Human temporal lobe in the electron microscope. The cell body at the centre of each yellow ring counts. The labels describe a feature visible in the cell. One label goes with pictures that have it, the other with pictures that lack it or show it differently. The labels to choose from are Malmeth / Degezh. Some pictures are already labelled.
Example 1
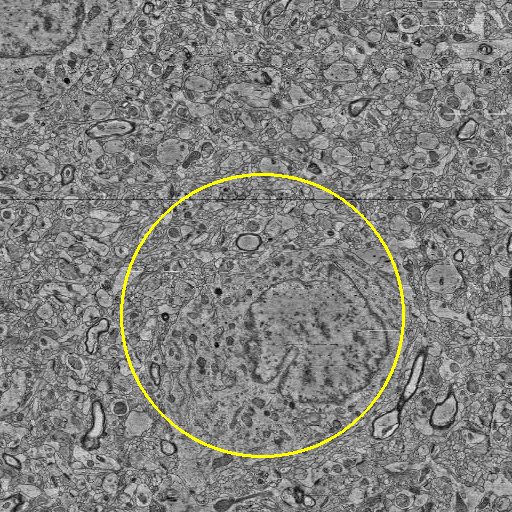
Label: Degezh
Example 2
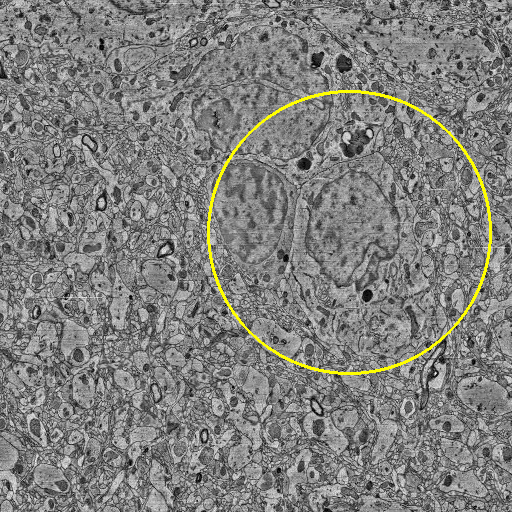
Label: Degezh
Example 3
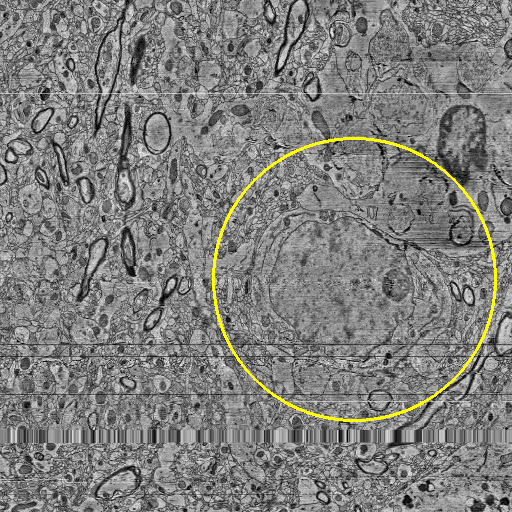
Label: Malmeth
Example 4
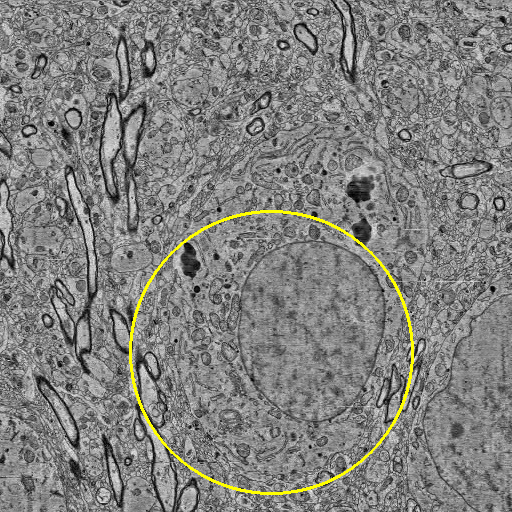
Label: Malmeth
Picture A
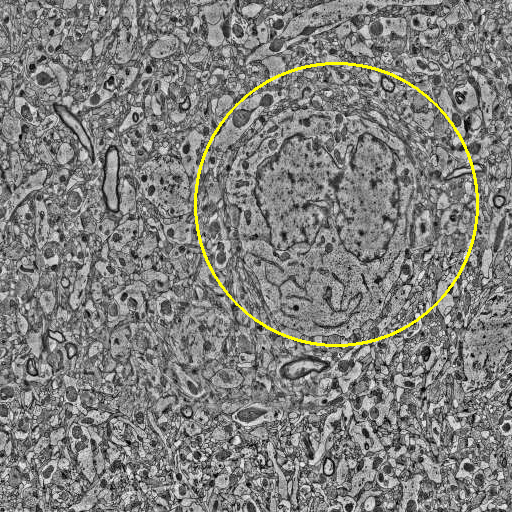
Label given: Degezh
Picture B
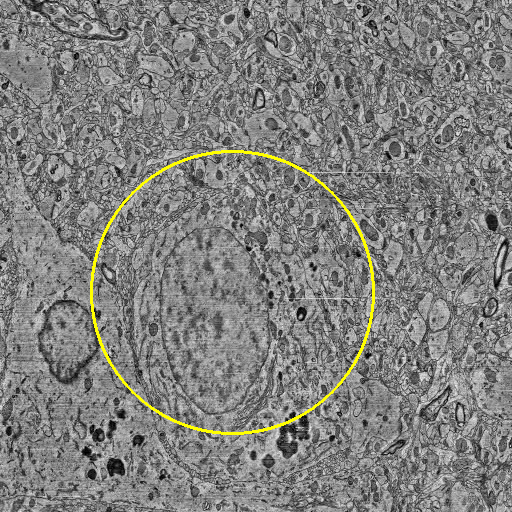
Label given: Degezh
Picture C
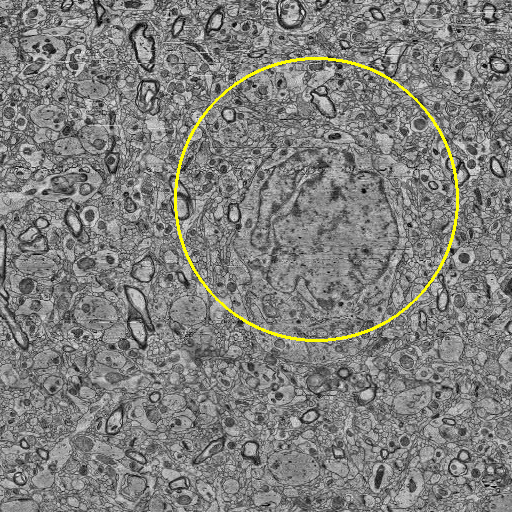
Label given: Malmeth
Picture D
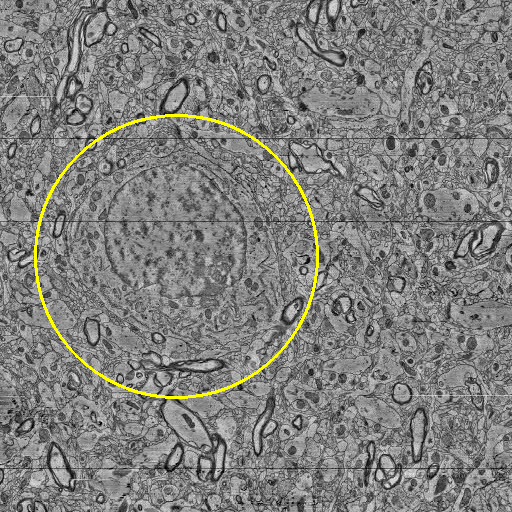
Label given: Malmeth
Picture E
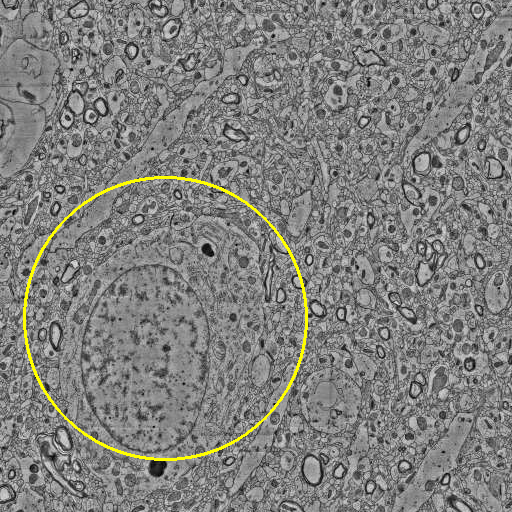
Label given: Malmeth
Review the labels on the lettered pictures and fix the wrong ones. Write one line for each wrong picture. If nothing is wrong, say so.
B: change Degezh to Malmeth
C: change Malmeth to Degezh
